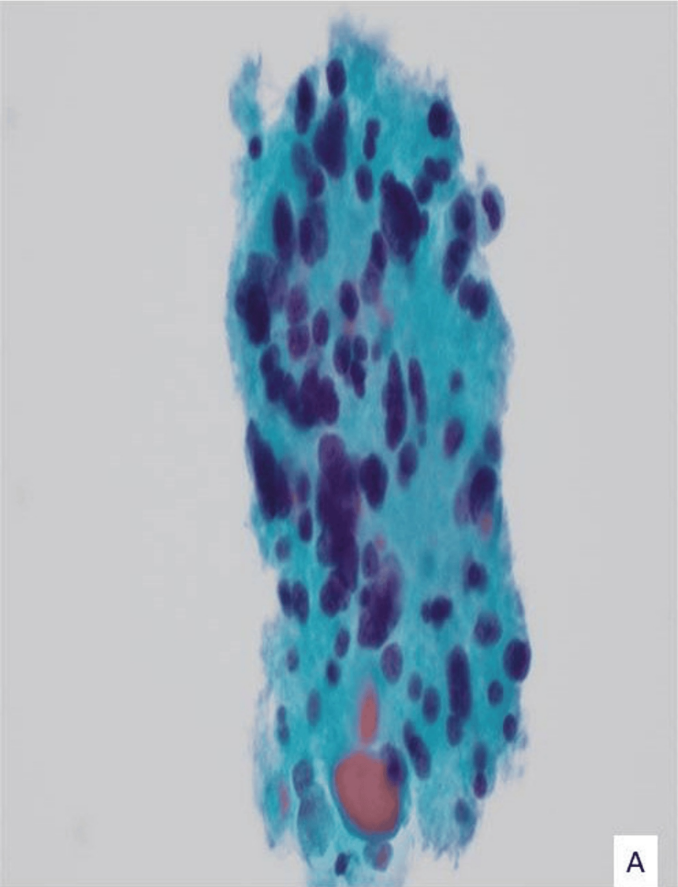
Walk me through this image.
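The nuclei are dark purple and show marked variation in size and shape, ranging from small round nuclei to large, elongated and irregular ones. The cells sit in a pale blue-green, finely granular cytoplasmic and background material. Near the lower edge lie rounded pink-orange globules surrounded by cells.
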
